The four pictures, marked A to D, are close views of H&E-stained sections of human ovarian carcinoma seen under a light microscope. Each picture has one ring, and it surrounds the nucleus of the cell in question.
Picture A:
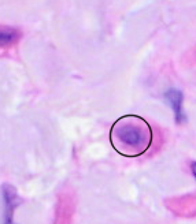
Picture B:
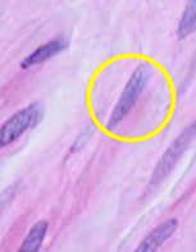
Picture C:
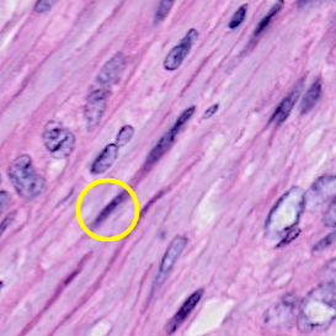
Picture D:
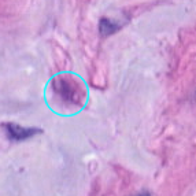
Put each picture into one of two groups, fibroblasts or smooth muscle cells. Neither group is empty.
A: smooth muscle cell
B: smooth muscle cell
C: fibroblast
D: smooth muscle cell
